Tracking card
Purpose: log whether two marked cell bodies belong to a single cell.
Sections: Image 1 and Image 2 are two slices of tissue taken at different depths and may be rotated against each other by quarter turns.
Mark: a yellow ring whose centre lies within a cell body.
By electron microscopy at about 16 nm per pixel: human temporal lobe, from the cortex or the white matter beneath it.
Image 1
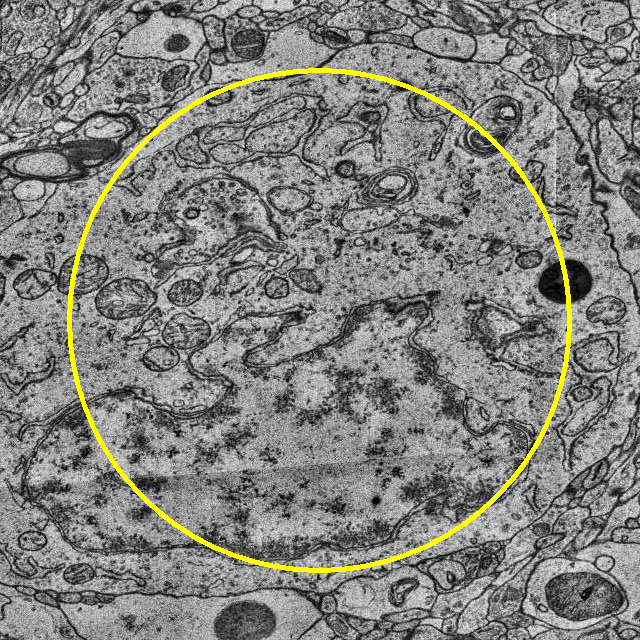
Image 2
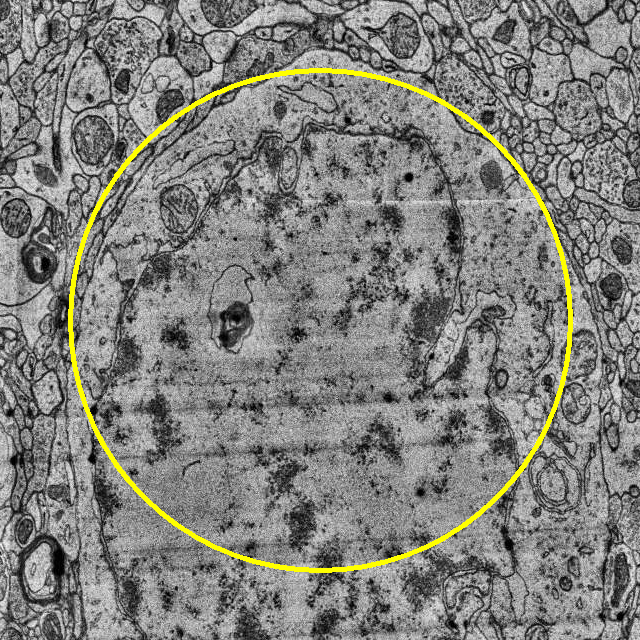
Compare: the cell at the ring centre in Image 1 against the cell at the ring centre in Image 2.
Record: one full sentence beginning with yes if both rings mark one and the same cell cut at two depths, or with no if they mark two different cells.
No, the pair of rings marks a pair of different cells.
